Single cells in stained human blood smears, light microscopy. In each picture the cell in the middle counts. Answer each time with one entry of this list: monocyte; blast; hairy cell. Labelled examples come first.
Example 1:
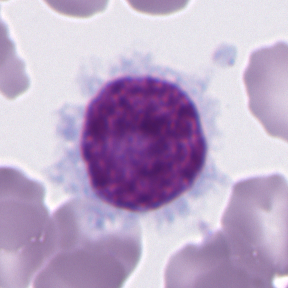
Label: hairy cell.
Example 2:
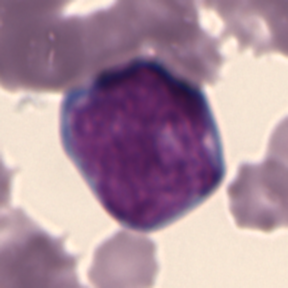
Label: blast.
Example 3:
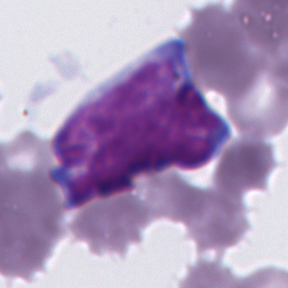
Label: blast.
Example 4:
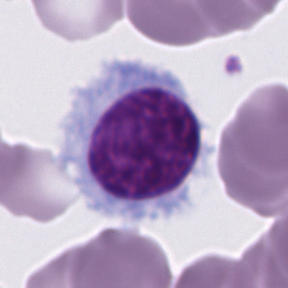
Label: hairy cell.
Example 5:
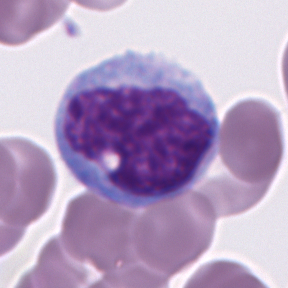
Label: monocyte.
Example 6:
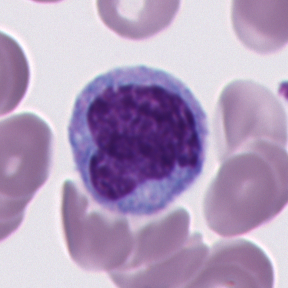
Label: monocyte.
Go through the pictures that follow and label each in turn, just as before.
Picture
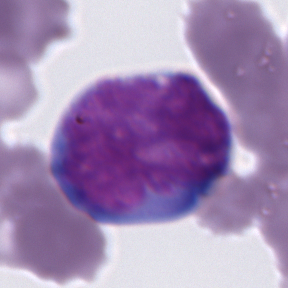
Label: blast.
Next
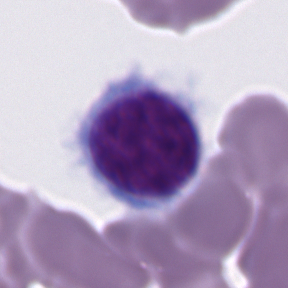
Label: hairy cell.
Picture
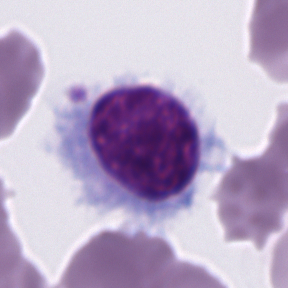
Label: hairy cell.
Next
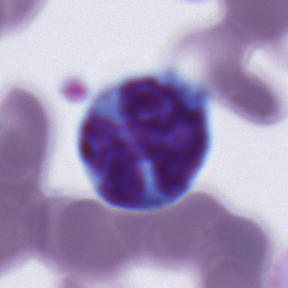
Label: monocyte.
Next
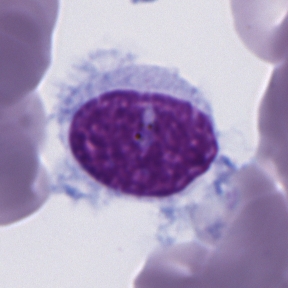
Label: hairy cell.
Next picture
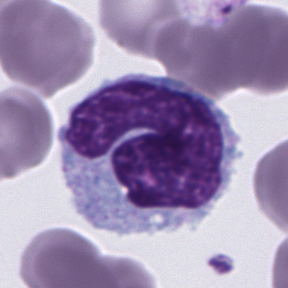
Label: monocyte.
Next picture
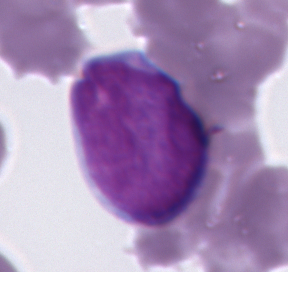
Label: blast.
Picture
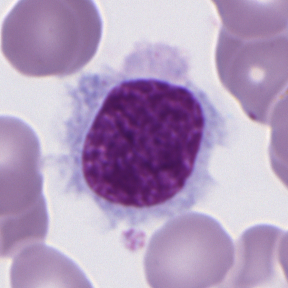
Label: hairy cell.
